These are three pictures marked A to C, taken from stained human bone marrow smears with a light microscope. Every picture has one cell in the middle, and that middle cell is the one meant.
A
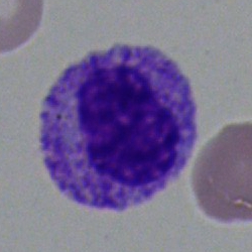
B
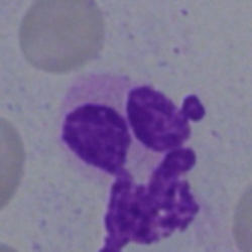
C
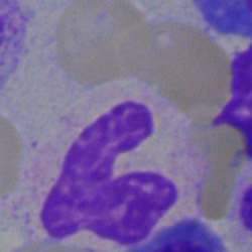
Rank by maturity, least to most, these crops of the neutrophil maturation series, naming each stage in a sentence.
In ascending order of maturity, the cells are crop A (a myelocyte), crop C (a band neutrophil) and crop B (a segmented neutrophil).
